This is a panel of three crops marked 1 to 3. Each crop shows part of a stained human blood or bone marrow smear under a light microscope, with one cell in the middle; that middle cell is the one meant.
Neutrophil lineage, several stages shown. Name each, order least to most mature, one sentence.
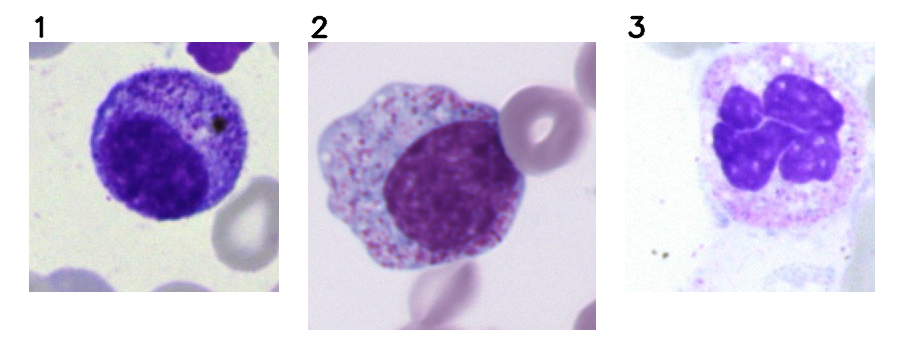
Starting from the least mature, the sequence proceeds crop 2 (a promyelocyte), crop 1 (a myelocyte) and crop 3 (a segmented neutrophil).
